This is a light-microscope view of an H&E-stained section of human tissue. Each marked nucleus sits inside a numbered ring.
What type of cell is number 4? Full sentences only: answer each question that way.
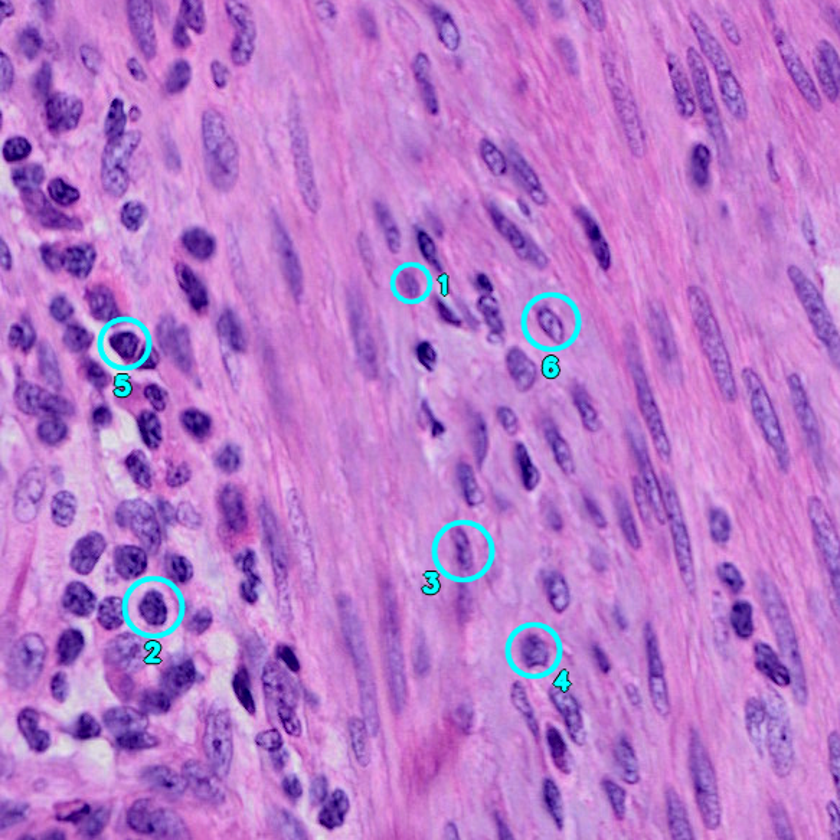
In this section, the cell tagged 4 is a smooth muscle cell.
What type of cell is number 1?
The nucleus labelled 1 belongs to a smooth muscle cell.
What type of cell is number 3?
The cell that bears the number 3 is a smooth muscle cell.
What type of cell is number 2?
The cell pointed out as number 2 is a lymphocyte.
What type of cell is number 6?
The cell indicated by marker 6 is a smooth muscle cell in this section.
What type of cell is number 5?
The cell numbered 5 represents a lymphocyte.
